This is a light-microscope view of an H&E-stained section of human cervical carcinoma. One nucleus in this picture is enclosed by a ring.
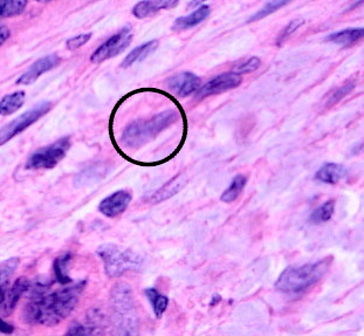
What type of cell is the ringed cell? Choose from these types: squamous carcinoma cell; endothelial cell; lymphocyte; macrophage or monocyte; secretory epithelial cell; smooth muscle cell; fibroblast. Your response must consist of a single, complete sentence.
The cell type of the ringed cell is that of an endothelial cell.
